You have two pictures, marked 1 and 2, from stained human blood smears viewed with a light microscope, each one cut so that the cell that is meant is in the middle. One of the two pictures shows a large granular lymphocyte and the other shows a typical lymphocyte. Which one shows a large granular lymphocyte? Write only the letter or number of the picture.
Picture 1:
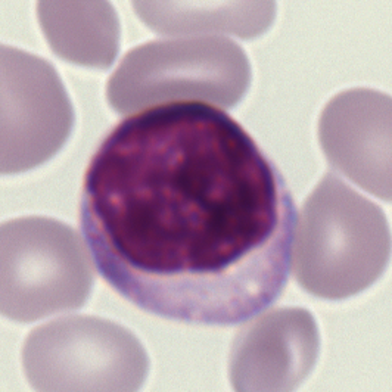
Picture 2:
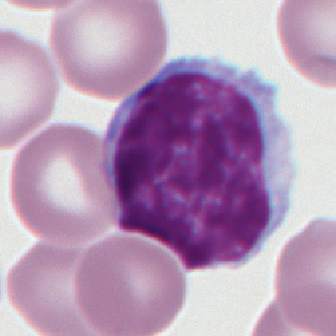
1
